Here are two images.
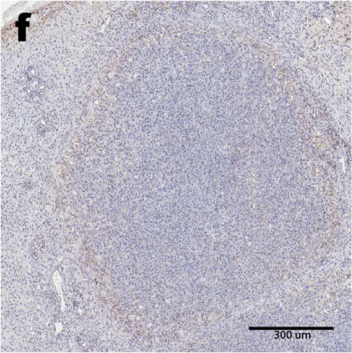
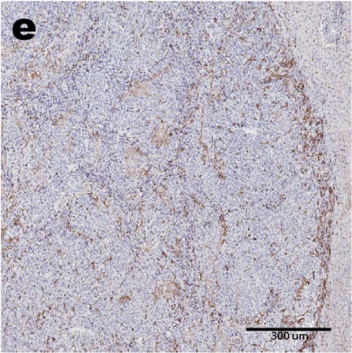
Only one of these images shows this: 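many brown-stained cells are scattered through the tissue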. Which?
The second image.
